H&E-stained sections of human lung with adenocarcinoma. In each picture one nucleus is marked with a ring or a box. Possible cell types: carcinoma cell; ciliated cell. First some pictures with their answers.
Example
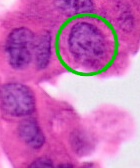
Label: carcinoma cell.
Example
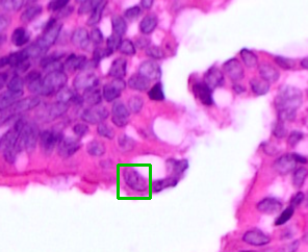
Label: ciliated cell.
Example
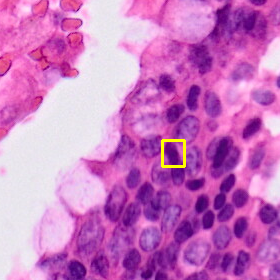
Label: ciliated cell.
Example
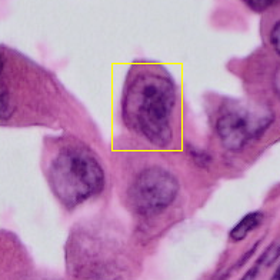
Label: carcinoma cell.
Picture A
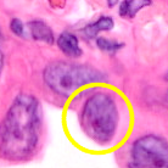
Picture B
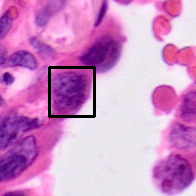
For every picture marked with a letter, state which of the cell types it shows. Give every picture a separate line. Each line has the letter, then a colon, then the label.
A: carcinoma cell.
B: carcinoma cell.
